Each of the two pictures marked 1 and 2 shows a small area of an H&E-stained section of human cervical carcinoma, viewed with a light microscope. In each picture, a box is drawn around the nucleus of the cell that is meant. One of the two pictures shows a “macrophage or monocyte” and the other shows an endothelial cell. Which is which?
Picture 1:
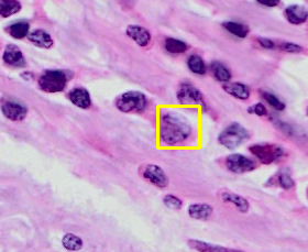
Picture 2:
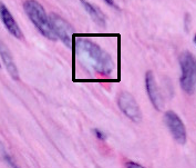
1: macrophage or monocyte
2: endothelial cell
